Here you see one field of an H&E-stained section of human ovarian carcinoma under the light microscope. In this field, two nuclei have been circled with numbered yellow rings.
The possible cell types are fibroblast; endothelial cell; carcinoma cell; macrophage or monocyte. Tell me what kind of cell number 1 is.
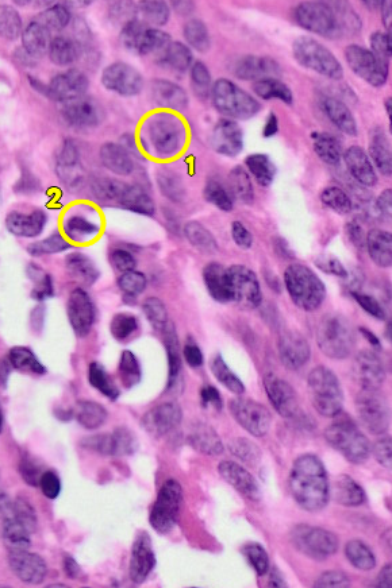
macrophage or monocyte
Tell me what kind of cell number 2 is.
carcinoma cell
